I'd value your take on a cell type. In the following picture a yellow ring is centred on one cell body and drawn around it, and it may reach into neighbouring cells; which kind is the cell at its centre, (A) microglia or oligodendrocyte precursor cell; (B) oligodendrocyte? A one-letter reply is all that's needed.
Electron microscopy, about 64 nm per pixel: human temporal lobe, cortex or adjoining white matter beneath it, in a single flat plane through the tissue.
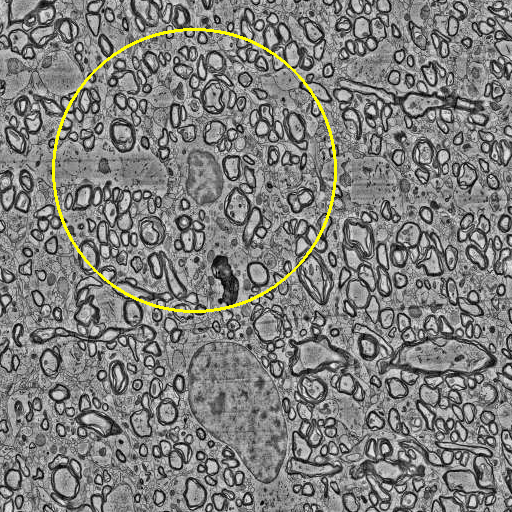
B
